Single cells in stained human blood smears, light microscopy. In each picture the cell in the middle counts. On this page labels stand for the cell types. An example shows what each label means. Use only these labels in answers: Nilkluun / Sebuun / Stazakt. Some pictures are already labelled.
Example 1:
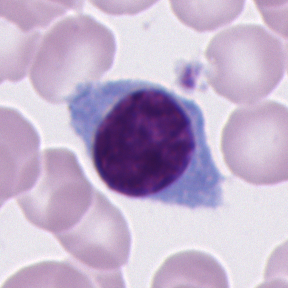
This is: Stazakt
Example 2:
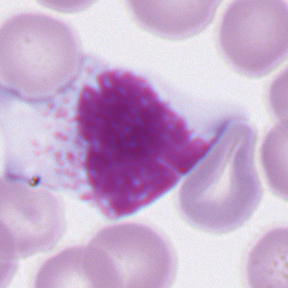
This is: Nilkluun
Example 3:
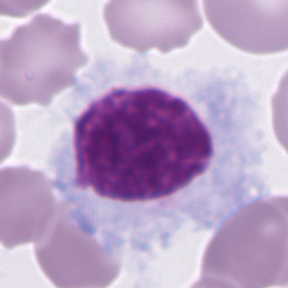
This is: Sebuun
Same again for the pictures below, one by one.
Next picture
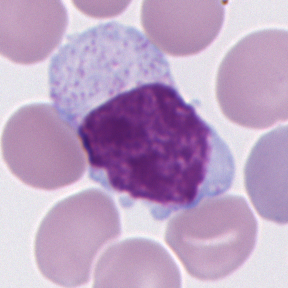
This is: Nilkluun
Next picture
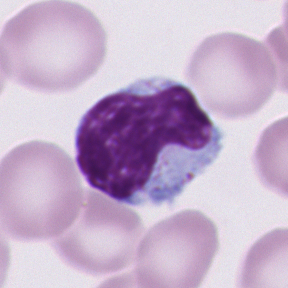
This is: Stazakt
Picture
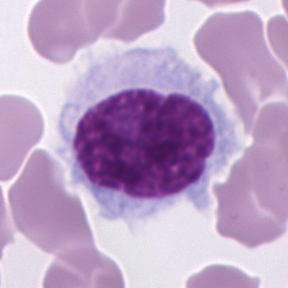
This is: Sebuun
